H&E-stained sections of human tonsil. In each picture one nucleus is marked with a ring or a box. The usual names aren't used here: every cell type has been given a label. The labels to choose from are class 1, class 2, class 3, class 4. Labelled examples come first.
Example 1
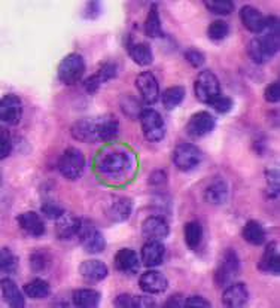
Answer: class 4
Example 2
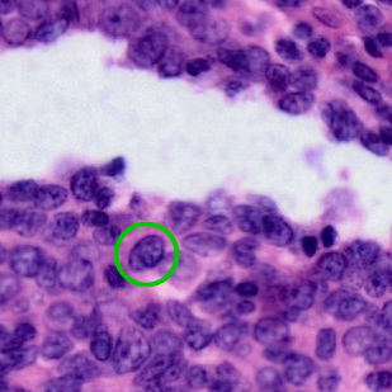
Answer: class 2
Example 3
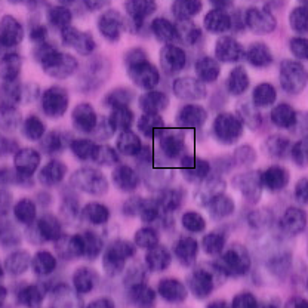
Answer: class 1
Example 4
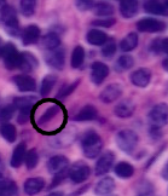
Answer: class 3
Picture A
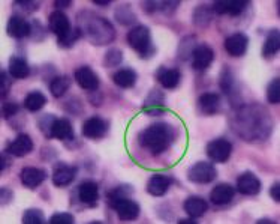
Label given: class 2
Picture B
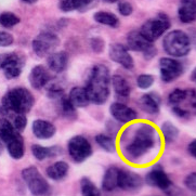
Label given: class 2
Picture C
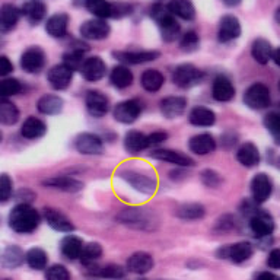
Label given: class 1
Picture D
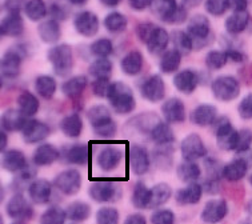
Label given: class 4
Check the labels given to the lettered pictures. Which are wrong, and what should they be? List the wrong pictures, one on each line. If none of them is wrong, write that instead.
C: class 3, not class 1
D: class 1, not class 4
